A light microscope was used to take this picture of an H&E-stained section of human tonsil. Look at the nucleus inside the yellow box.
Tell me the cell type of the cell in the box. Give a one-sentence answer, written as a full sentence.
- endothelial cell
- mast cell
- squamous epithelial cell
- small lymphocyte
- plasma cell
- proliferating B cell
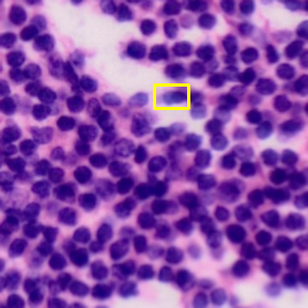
What the cell in the box represents is a small lymphocyte.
